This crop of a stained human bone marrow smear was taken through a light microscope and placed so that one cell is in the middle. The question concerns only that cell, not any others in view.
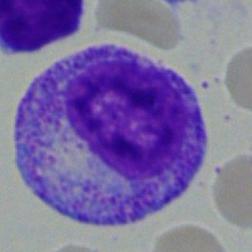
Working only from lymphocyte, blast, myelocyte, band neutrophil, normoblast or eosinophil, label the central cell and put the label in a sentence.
Answering briefly, the cell in the middle is a myelocyte.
